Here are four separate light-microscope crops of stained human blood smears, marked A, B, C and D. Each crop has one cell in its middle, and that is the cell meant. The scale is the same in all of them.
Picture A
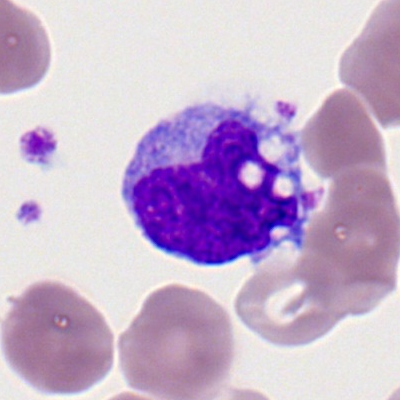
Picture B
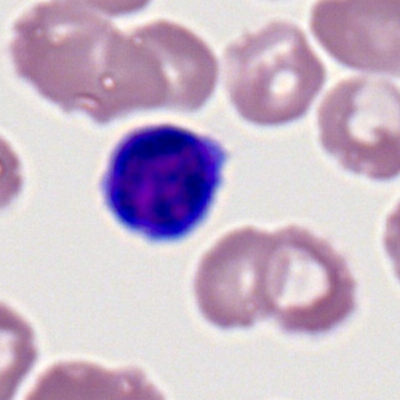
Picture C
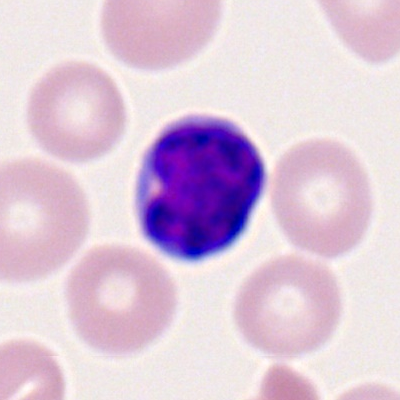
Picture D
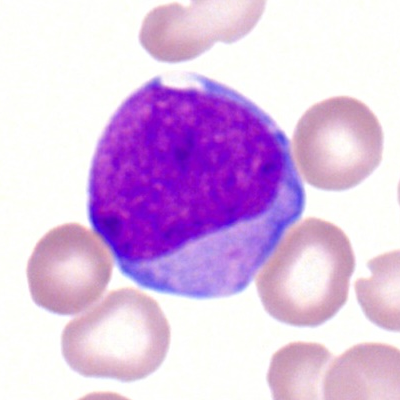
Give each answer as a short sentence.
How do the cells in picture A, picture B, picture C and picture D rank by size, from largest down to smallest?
Going down, they run D, A, C, B.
